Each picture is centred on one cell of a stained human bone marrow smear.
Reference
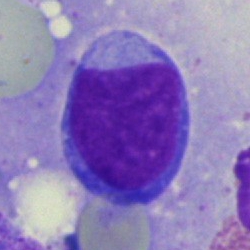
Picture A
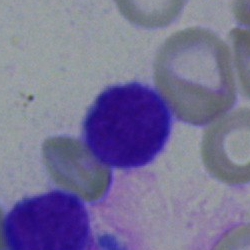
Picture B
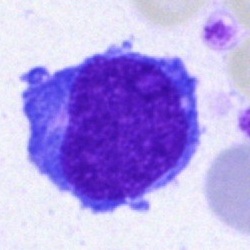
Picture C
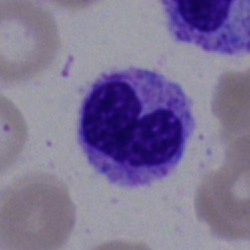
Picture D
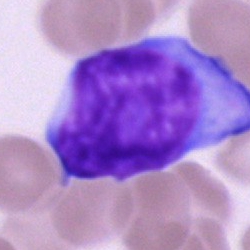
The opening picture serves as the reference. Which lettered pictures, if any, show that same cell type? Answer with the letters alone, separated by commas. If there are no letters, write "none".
B, D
